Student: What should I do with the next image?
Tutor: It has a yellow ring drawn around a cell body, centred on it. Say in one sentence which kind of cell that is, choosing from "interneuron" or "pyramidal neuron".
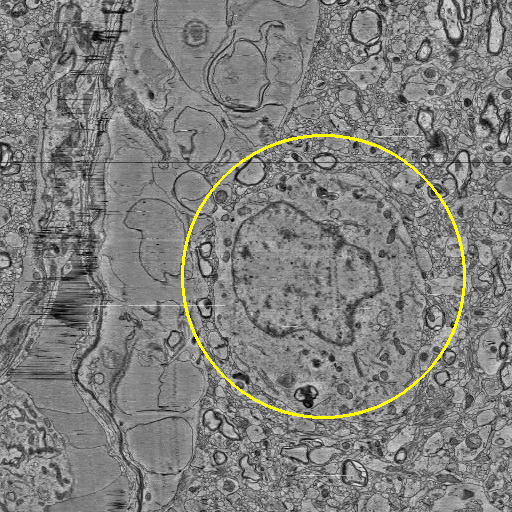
The ring's centre is occupied by a pyramidal neuron.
